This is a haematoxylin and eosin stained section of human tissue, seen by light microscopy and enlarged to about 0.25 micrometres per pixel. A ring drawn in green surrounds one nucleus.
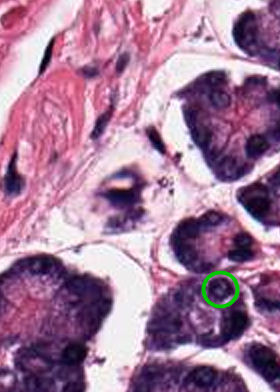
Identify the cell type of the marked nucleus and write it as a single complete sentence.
The cell whose nucleus is marked is a pancreatic acinar cell.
